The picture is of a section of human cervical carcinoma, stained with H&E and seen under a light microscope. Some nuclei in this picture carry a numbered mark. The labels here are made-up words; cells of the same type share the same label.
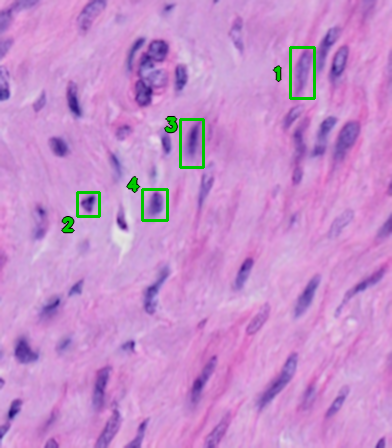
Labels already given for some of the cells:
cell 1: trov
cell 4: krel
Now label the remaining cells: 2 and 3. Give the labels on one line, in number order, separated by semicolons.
krel; krel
